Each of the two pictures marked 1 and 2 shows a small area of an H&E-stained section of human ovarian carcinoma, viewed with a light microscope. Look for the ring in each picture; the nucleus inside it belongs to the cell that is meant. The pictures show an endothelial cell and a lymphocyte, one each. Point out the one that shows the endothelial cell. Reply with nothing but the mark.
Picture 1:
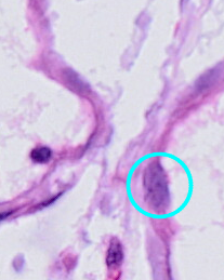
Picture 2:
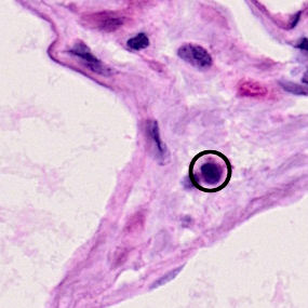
1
